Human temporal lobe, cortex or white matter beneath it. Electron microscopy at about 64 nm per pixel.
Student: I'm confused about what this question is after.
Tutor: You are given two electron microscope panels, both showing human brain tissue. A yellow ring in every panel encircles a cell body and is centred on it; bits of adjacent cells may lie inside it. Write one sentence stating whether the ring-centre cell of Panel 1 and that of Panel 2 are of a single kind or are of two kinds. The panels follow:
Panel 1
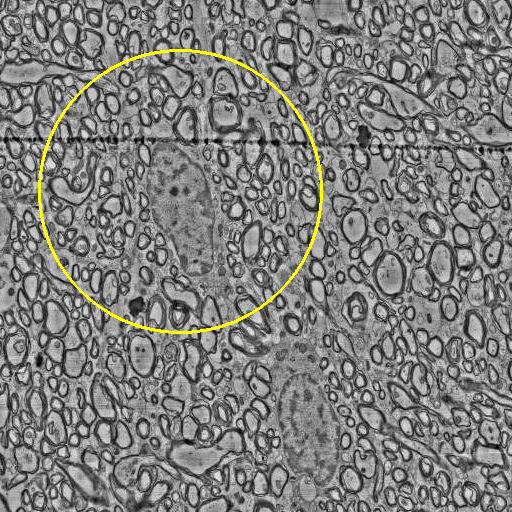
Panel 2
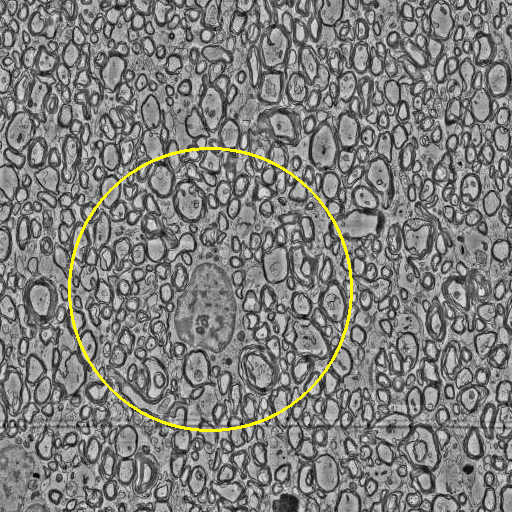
Here, the Panel 1 ring-centre cell and the Panel 2 ring-centre cell are of a single kind.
